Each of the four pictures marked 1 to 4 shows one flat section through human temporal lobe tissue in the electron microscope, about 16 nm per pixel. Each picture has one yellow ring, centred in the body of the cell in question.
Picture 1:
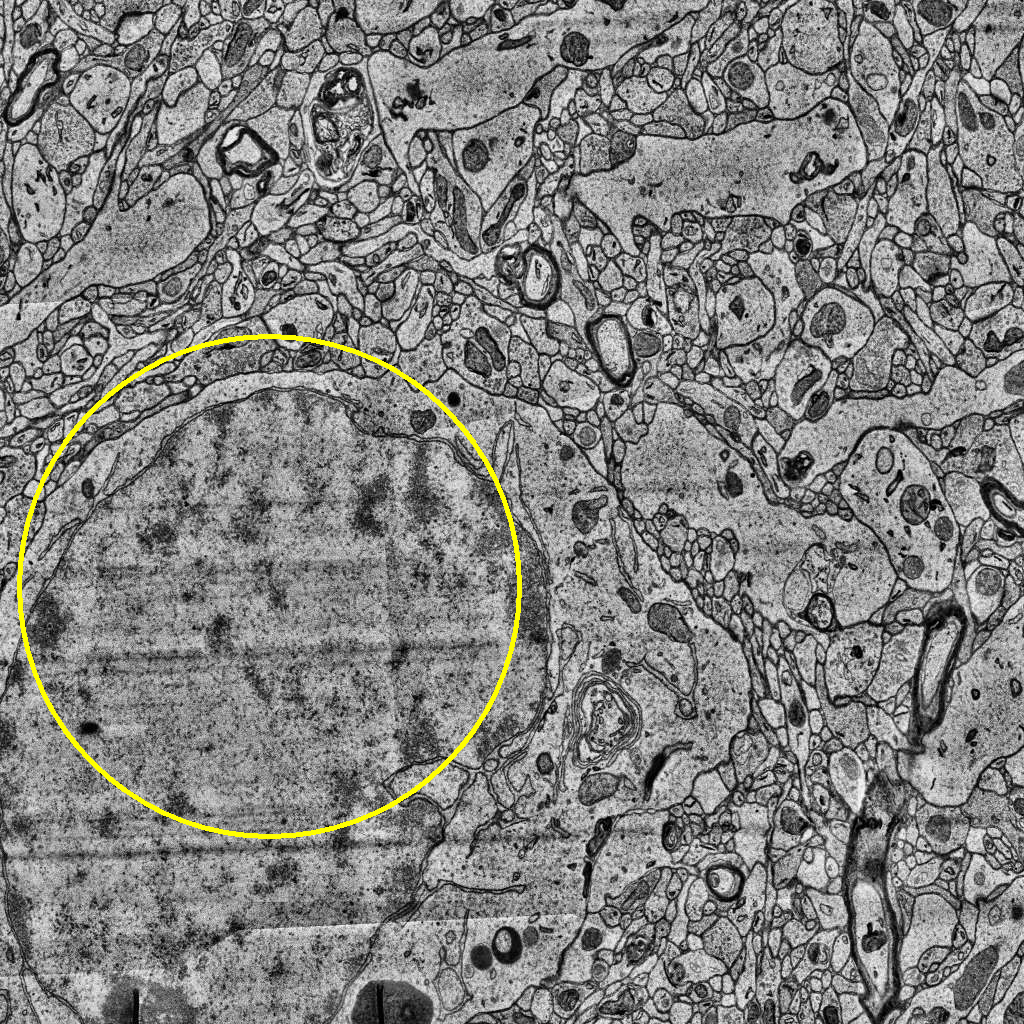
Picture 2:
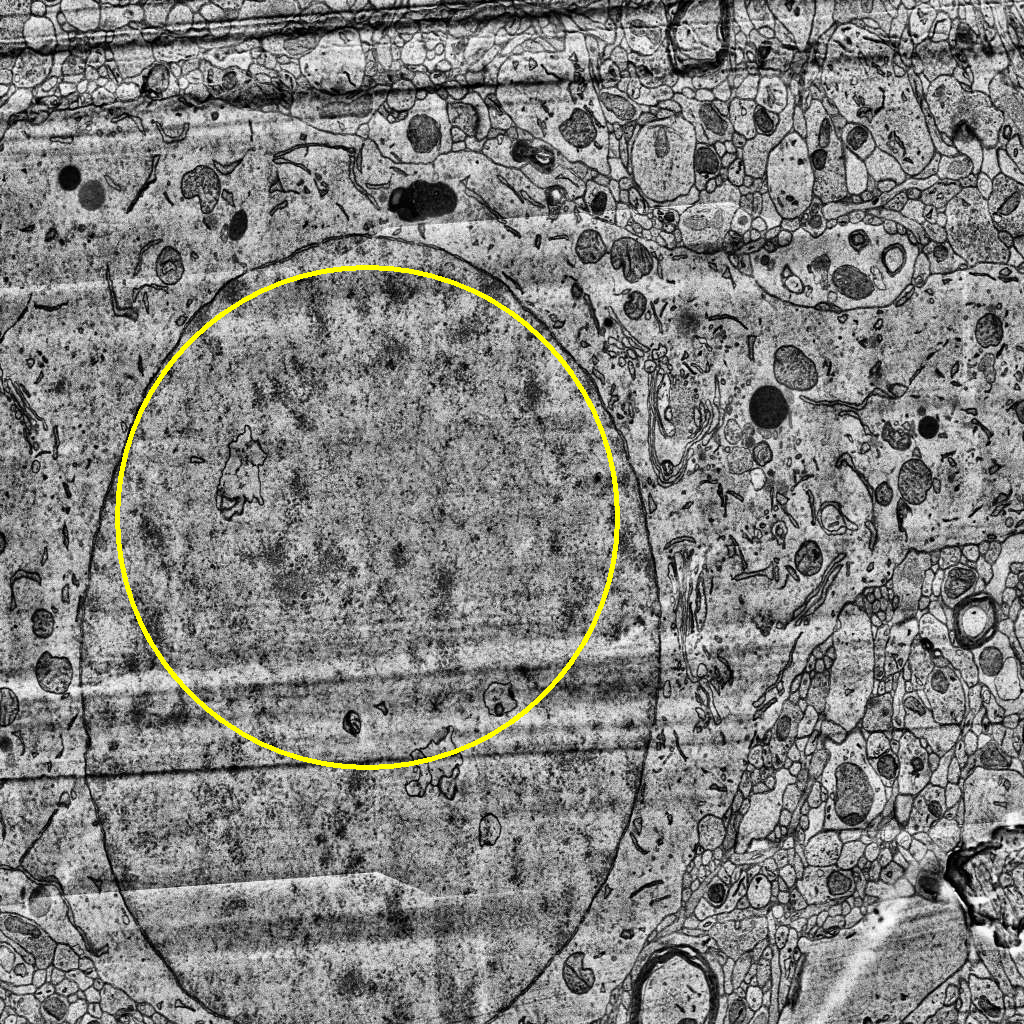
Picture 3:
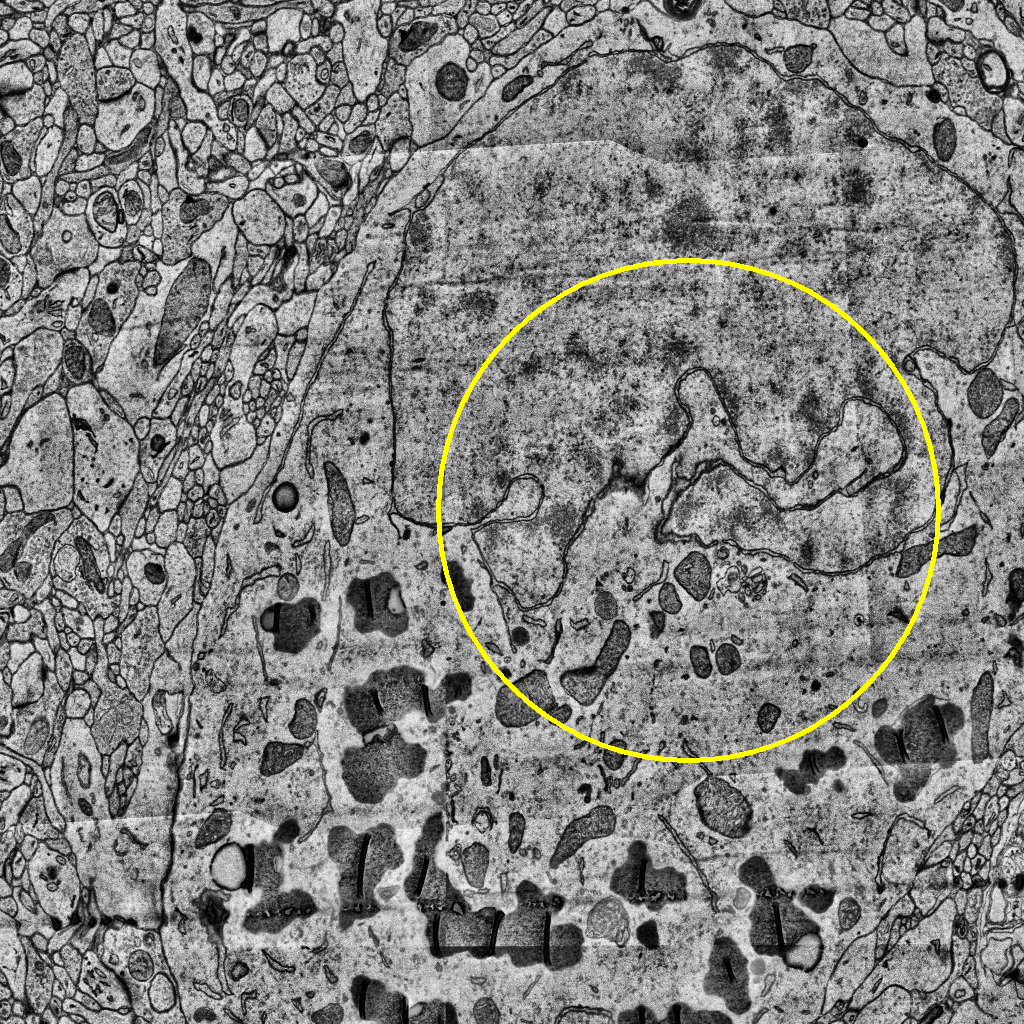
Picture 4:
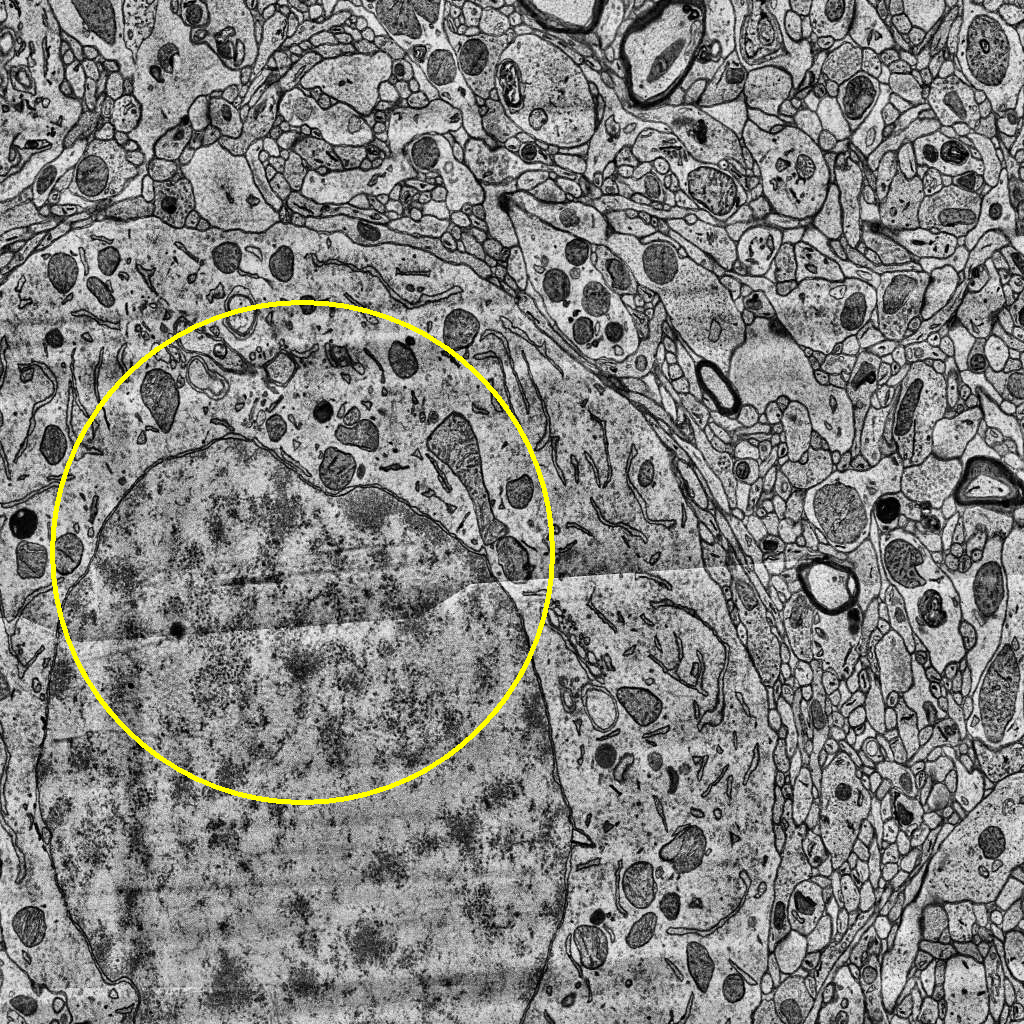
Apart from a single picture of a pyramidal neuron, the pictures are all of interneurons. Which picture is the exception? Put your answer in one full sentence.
The picture with the pyramidal neuron is 2.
